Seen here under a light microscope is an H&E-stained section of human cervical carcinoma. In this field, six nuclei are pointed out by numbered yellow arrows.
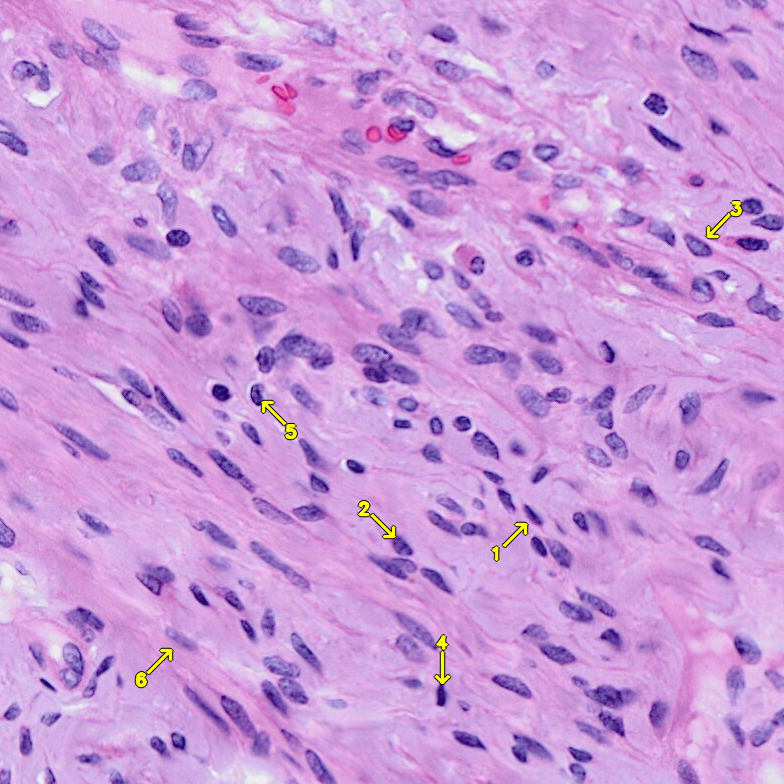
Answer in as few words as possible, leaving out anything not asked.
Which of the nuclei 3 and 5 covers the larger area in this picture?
3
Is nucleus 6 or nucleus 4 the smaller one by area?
4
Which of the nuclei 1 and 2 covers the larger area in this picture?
2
